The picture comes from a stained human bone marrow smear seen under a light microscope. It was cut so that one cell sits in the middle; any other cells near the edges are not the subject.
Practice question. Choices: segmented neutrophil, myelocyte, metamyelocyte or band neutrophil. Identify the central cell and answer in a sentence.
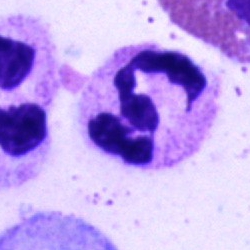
The cell at the middle of the crop is recognized as a segmented neutrophil.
